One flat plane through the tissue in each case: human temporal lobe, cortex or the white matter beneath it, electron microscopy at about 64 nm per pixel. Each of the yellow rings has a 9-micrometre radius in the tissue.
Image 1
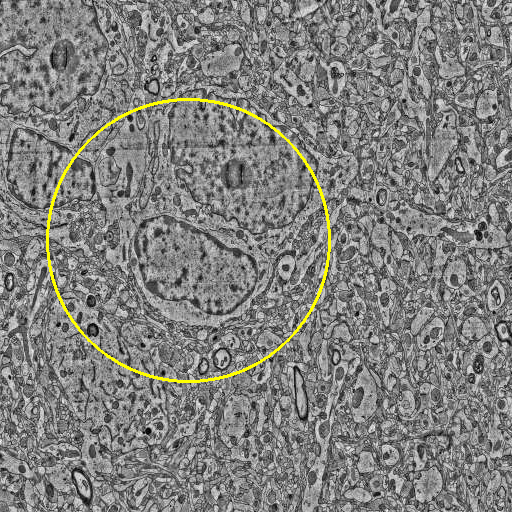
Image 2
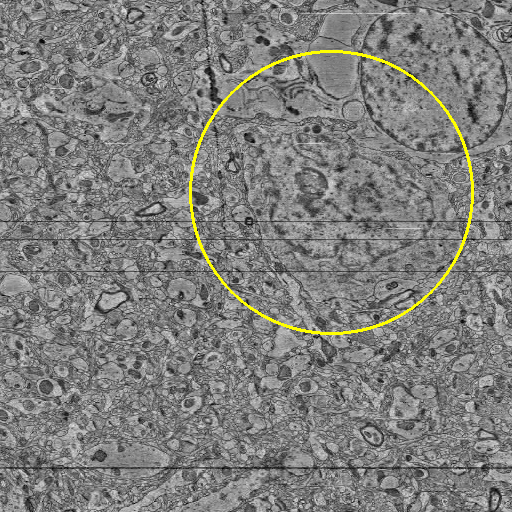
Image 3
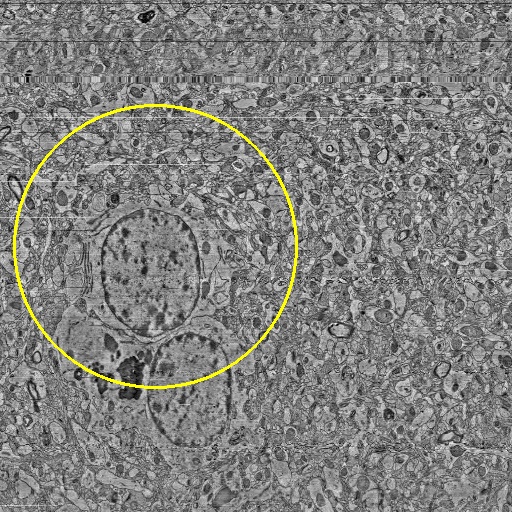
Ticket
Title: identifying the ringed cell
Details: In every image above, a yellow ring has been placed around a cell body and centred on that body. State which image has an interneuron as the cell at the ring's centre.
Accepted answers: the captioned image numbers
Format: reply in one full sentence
The ring in image 2 is centred on the cell in question.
